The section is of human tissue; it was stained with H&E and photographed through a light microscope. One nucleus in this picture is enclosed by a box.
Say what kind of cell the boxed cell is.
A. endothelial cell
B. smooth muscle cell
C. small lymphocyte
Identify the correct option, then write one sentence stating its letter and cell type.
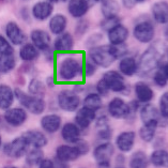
Answer with option C; the boxed cell is a small lymphocyte.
